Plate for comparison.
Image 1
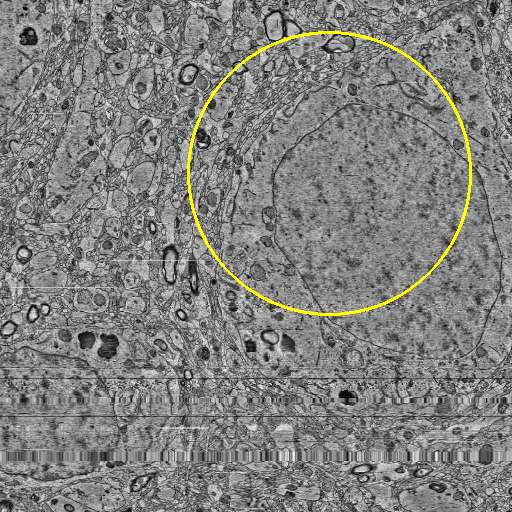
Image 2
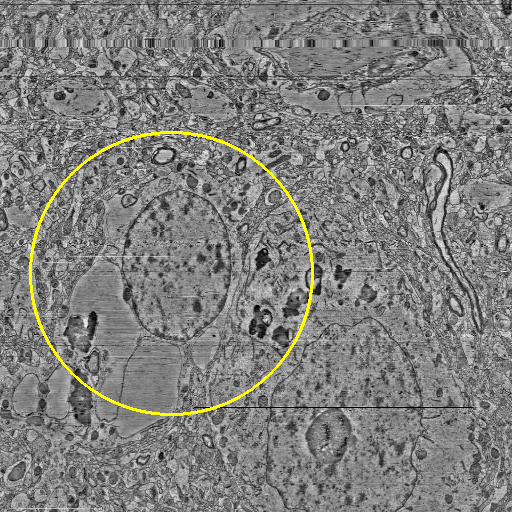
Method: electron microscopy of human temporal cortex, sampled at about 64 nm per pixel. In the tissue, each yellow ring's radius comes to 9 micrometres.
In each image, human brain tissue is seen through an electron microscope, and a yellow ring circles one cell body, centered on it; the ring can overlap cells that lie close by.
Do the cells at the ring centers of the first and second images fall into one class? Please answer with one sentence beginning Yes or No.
No, the first and second images show two classes of cell at the ring centers.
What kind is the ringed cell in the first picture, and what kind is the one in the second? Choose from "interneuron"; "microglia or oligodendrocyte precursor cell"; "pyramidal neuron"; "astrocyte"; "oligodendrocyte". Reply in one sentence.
The first cell is a pyramidal neuron; the second is an astrocyte.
